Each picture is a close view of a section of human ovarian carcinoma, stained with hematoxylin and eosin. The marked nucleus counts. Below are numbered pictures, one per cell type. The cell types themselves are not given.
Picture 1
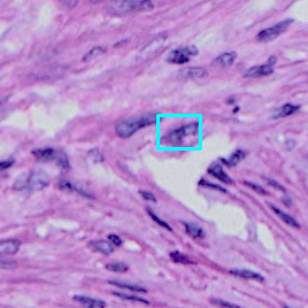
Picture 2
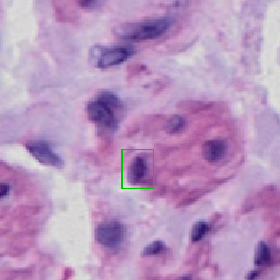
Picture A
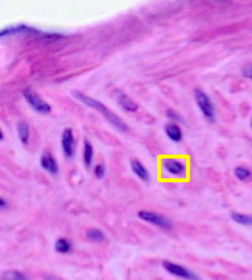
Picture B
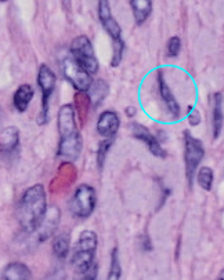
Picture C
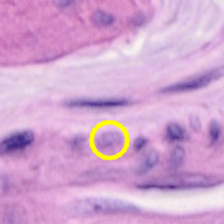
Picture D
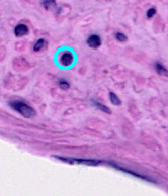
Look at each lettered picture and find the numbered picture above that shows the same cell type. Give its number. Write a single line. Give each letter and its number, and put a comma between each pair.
A 2, B 1, C 2, D 2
